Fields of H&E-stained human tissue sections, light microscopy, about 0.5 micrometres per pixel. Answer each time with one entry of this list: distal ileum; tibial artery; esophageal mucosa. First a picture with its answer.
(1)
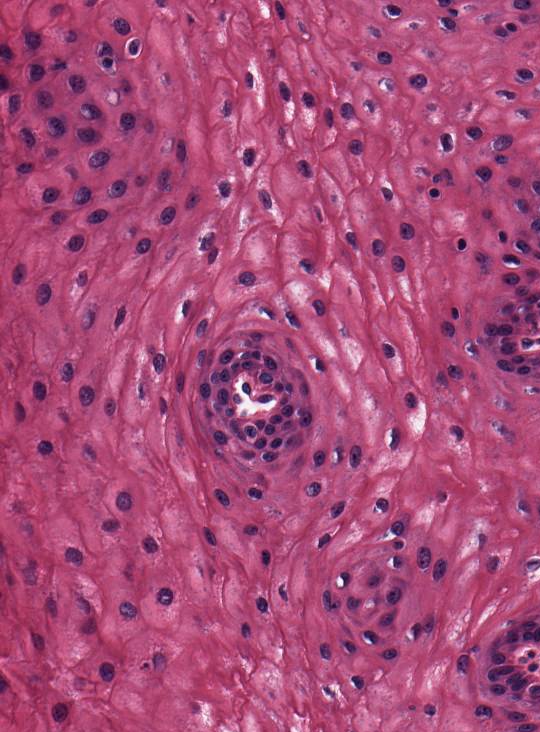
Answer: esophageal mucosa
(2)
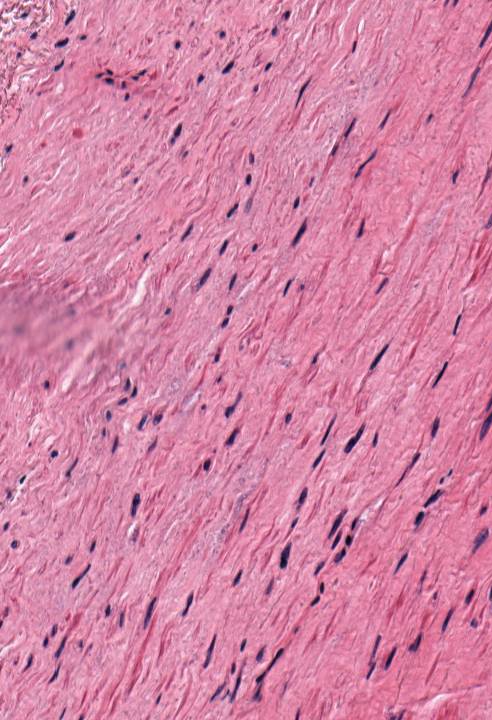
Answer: tibial artery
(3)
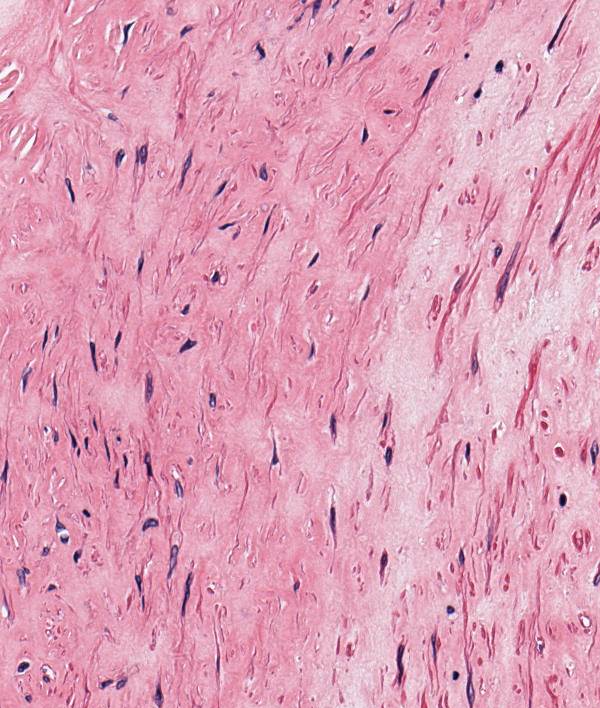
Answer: tibial artery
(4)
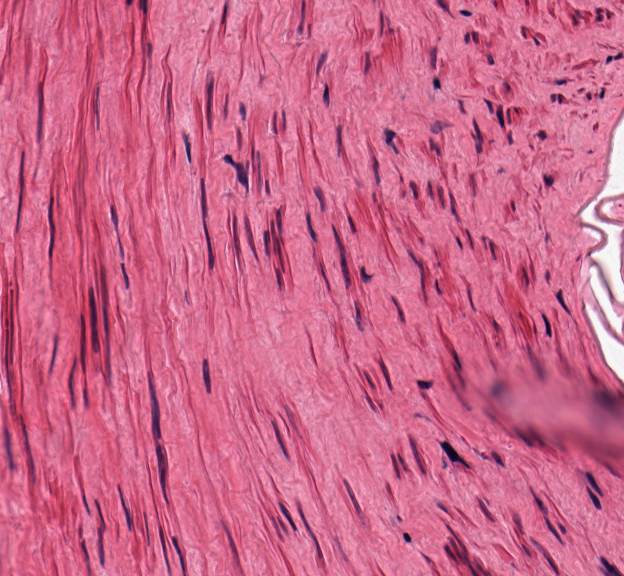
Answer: tibial artery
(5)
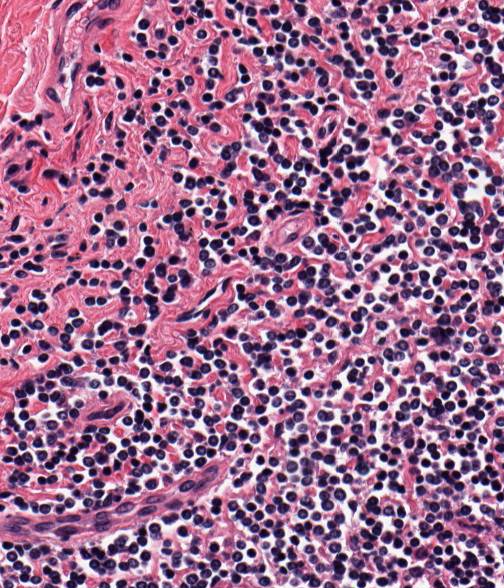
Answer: distal ileum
